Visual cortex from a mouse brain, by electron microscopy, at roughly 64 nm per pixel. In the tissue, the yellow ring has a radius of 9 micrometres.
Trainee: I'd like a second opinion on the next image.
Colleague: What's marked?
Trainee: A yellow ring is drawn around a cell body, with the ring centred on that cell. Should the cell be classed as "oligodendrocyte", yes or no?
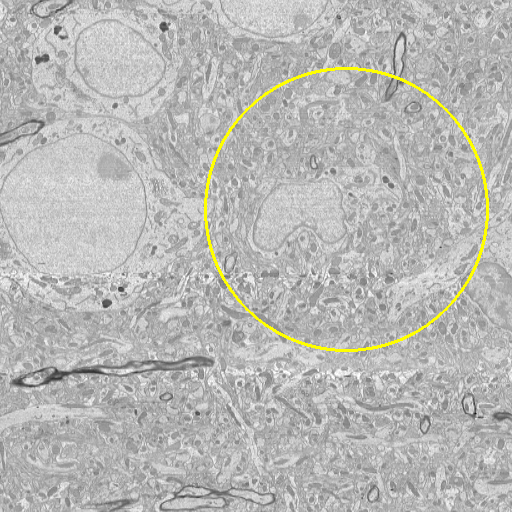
No, it should be classed as another kind.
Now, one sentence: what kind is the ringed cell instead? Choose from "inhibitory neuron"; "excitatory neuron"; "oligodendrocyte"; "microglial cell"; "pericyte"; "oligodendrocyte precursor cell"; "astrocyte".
The ring holds an oligodendrocyte precursor cell at its centre.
